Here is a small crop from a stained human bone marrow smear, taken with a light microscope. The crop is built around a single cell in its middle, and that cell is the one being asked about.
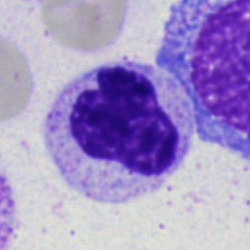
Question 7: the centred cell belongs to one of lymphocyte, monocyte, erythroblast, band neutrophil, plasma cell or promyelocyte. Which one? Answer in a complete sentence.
Classification of the middle cell gives a band neutrophil.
